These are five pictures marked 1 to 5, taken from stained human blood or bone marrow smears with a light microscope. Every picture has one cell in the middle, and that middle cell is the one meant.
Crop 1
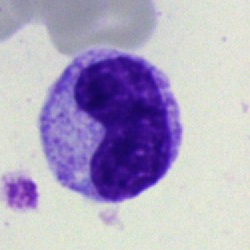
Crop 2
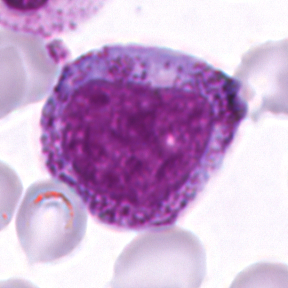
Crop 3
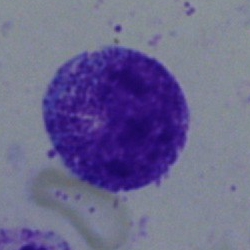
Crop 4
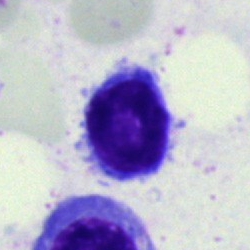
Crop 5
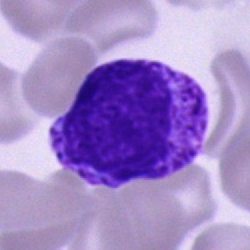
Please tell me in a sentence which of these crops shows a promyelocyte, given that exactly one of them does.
Crop 2, of the crops presented, is the one showing a promyelocyte.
